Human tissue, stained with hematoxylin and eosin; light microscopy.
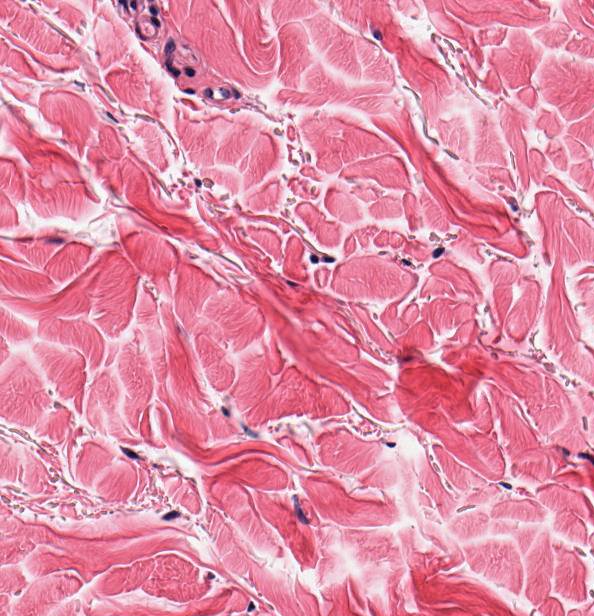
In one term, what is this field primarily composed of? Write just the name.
dermis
